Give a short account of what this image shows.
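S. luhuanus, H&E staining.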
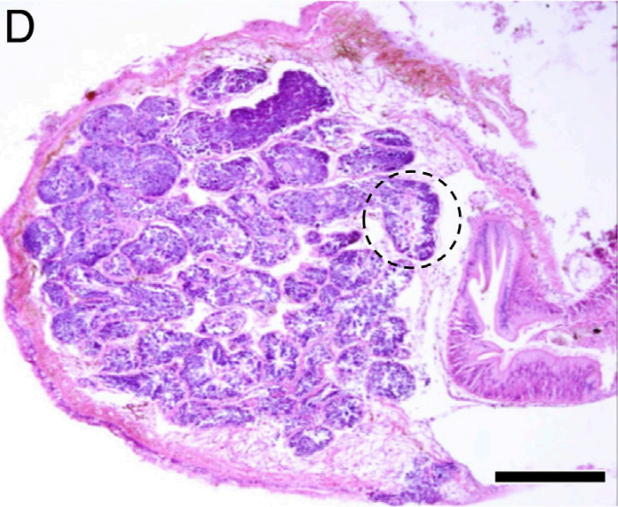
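This is a section of the testis, made up of many lobules. The lobules are rounded or oval compartments filled with densely purple-stained cells. Thin pale pink partitions divide the lobules from one another, and some lobules show a paler centre. To one side lies a separate structure with a folded pink lining.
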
